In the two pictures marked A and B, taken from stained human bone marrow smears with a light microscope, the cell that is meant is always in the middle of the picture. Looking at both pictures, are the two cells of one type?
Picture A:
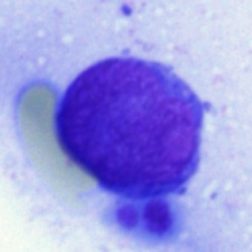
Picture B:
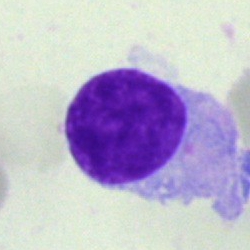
no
